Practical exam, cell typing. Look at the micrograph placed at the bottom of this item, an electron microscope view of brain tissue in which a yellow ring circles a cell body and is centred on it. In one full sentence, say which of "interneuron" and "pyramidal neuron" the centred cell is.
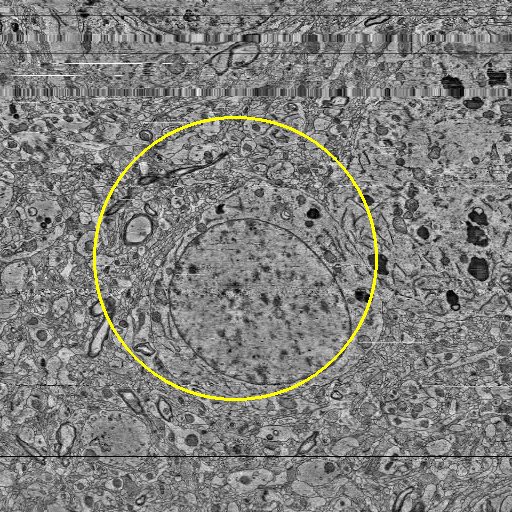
Given the options, a pyramidal neuron fits the cell whose body the yellow ring is centred on.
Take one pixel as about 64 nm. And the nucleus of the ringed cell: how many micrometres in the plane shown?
About 12 micrometres by about 10 micrometres in this plane.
